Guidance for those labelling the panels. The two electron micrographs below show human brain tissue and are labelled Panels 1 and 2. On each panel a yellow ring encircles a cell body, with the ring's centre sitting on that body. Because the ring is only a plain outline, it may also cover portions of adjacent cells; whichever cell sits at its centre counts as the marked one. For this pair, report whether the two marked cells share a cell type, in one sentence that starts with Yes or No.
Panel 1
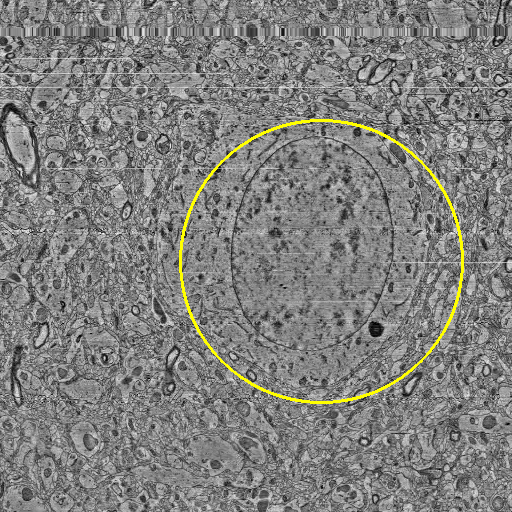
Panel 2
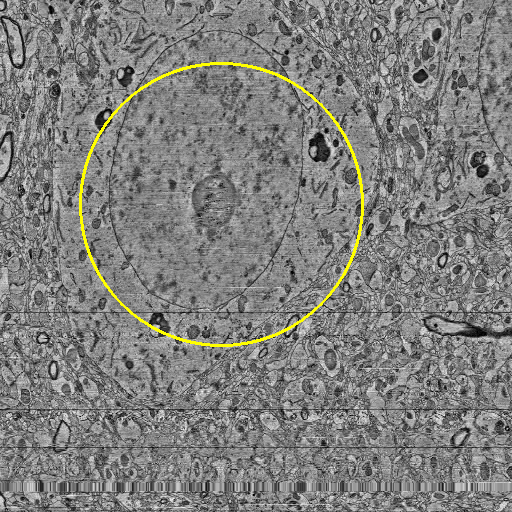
Yes, in Panel 1 and Panel 2 the marked cells at the ring centres share one type.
